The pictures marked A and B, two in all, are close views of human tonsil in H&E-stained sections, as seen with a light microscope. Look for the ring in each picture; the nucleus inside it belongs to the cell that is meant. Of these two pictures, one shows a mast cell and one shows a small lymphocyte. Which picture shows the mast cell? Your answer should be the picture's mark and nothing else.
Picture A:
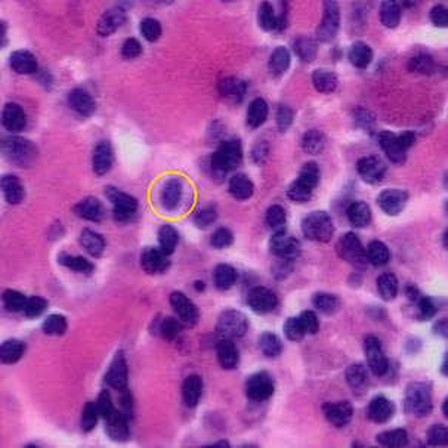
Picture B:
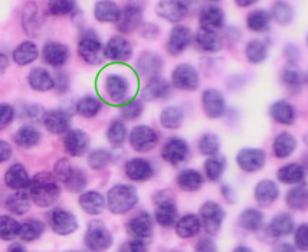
A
